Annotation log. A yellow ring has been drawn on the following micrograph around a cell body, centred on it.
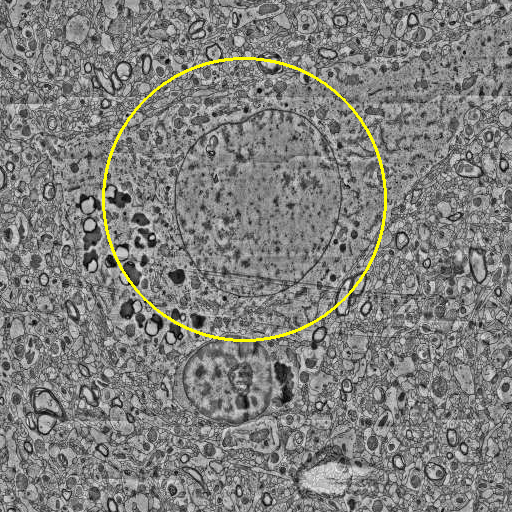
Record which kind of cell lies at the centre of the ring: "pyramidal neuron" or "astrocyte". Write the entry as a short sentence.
The cell the ring is centred on is a pyramidal neuron.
